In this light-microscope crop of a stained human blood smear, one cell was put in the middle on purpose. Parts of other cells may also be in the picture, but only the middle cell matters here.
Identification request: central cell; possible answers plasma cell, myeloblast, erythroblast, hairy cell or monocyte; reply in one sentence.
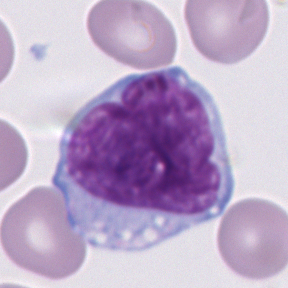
The cell shown in the center of this light-microscope crop is a myeloblast.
